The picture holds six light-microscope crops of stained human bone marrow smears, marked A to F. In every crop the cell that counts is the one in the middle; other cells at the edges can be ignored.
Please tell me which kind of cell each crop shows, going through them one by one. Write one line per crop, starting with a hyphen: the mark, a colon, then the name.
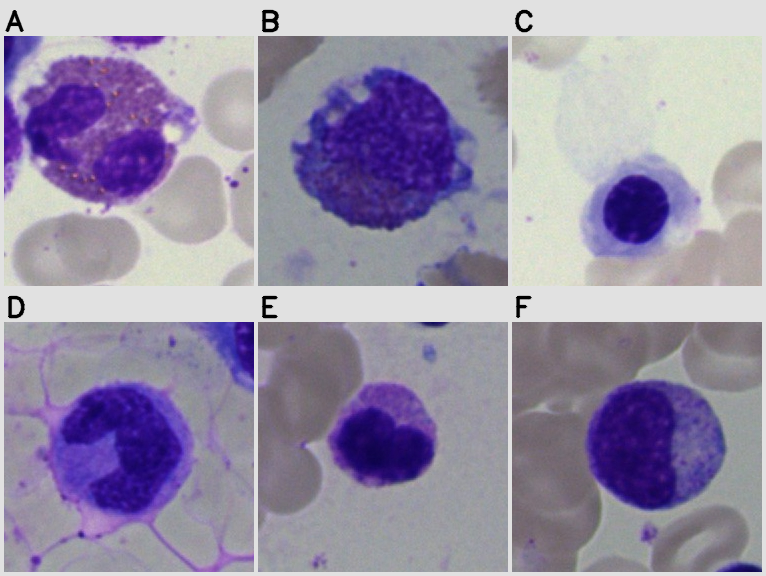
- A: eosinophil
- B: eosinophil
- C: erythroblast
- D: monocyte
- E: basophil
- F: myelocyte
